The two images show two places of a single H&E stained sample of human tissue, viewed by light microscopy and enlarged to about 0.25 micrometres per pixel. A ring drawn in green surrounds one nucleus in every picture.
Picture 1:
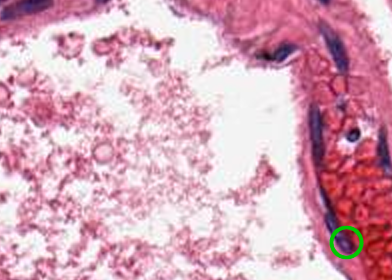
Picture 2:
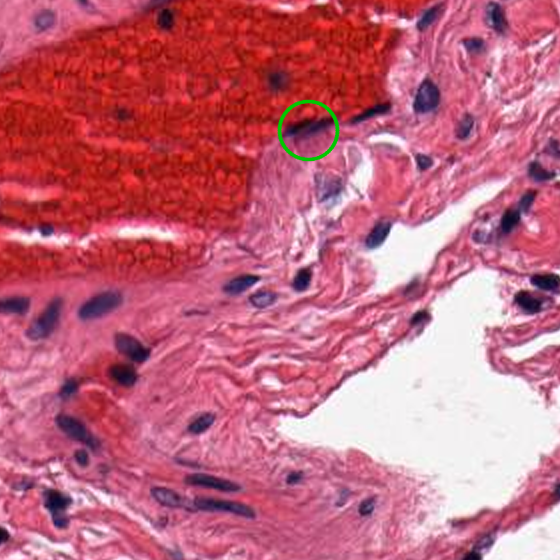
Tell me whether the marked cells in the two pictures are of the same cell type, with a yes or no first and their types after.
Yes, both are endothelial cells.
